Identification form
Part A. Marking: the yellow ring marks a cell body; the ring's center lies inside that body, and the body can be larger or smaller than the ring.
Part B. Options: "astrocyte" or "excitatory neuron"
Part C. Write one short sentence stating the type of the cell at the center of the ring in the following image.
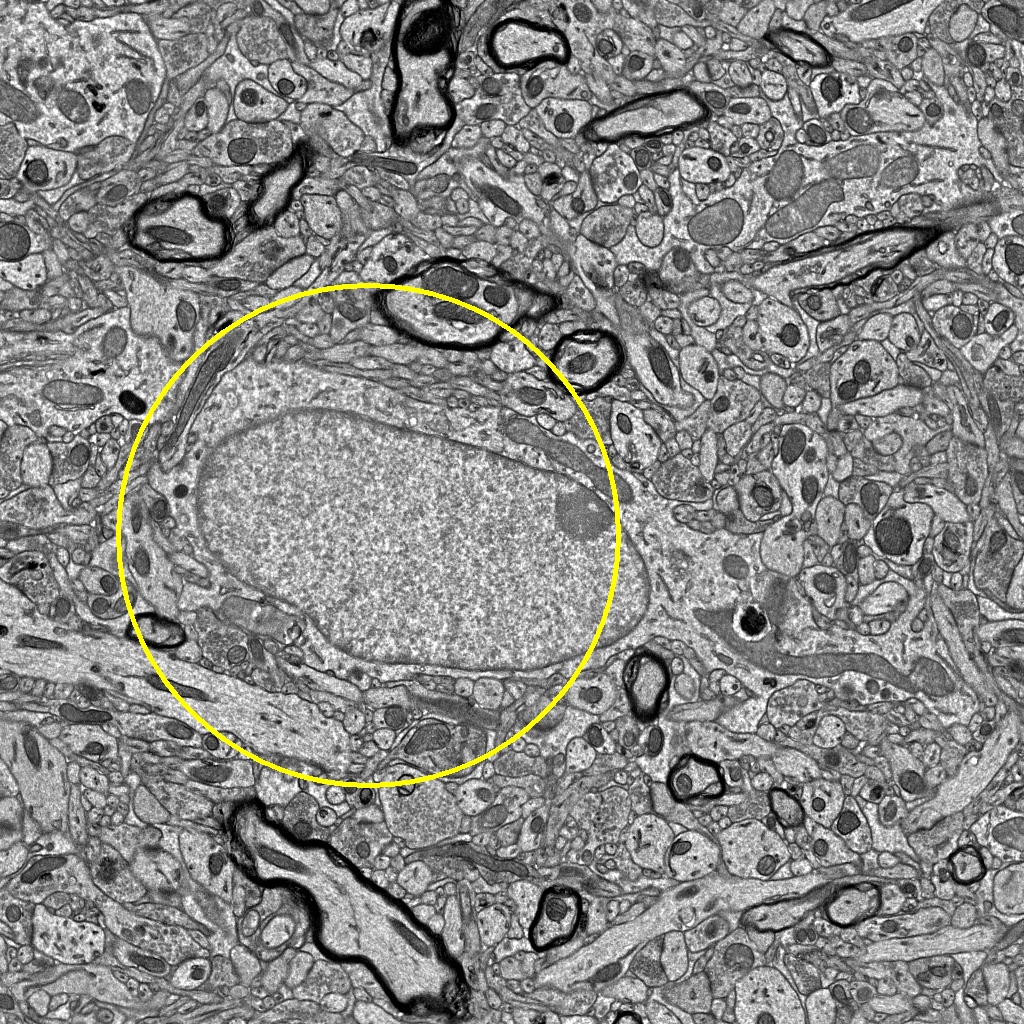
The center of the ring holds an astrocyte.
